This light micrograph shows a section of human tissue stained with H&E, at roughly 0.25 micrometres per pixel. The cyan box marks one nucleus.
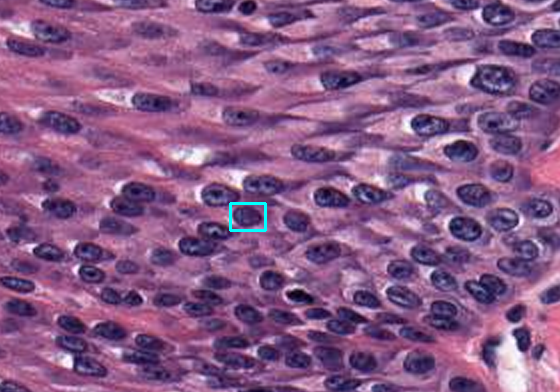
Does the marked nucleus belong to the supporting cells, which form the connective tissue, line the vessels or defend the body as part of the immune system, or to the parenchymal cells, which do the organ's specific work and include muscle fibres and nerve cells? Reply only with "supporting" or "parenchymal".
parenchymal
